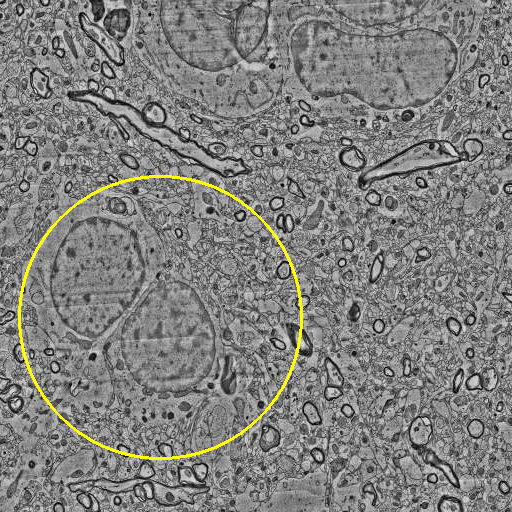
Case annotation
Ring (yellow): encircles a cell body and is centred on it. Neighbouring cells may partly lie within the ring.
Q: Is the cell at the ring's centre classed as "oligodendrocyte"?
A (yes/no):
yes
